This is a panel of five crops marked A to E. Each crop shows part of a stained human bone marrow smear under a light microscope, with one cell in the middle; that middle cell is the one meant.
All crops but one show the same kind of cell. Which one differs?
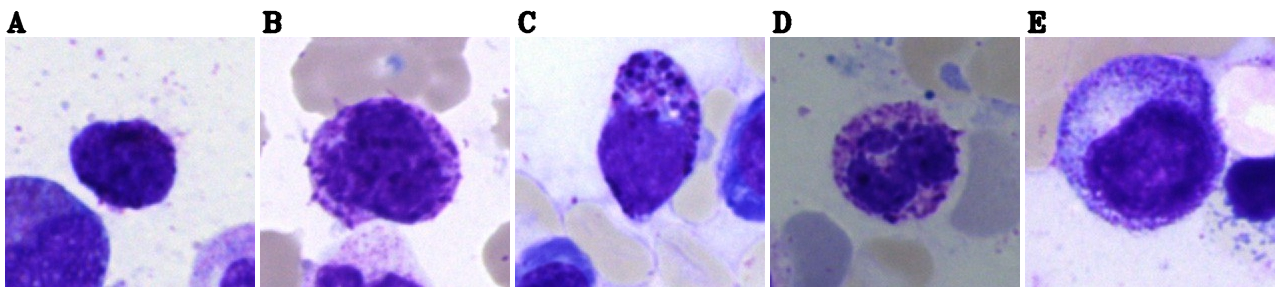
E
